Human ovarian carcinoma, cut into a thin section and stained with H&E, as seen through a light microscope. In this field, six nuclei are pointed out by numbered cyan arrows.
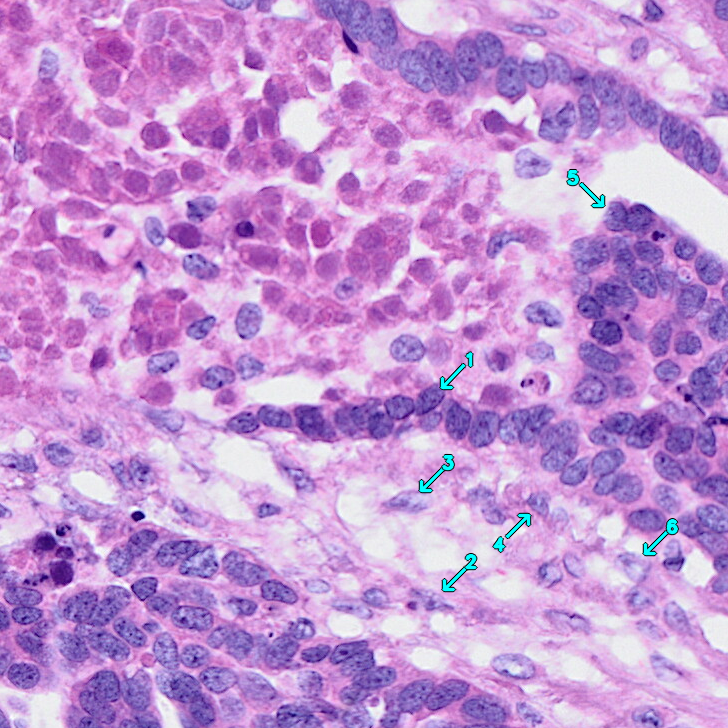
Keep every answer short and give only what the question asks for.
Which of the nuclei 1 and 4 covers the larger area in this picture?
1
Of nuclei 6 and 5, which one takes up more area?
6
